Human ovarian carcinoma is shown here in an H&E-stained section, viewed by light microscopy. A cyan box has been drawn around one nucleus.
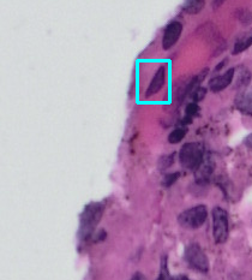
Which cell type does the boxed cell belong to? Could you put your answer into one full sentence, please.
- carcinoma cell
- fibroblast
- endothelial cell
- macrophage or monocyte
In terms of identity, the boxed cell is an endothelial cell.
